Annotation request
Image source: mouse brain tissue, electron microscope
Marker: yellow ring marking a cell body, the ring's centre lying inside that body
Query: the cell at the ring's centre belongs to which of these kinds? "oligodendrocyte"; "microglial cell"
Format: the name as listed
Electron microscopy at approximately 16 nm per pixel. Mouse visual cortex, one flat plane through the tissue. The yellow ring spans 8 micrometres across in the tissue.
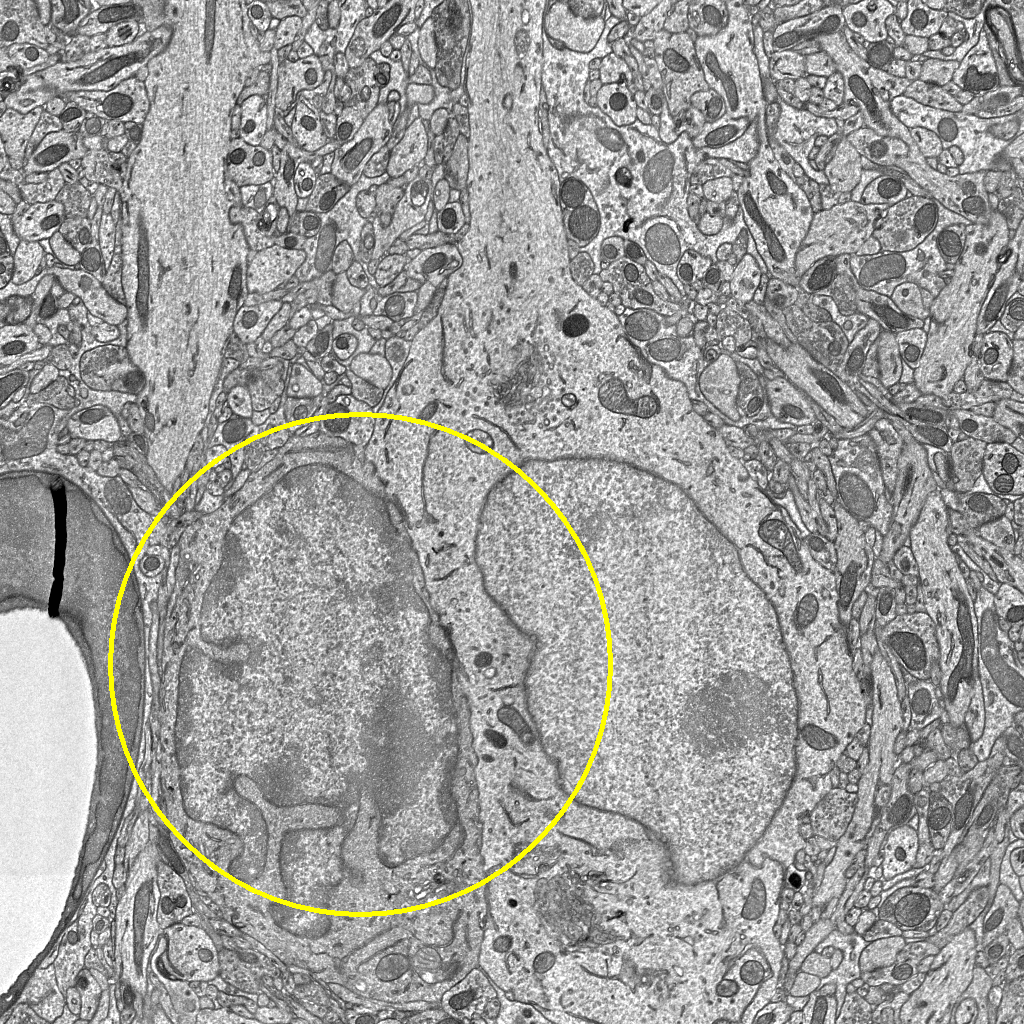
oligodendrocyte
